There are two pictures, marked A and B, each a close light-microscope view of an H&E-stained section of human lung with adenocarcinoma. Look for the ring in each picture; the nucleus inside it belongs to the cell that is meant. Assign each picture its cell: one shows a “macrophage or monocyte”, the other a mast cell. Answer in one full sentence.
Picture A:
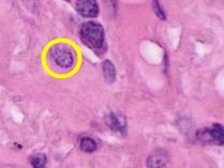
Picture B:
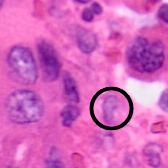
Picture A shows a mast cell and picture B shows a “macrophage or monocyte”.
